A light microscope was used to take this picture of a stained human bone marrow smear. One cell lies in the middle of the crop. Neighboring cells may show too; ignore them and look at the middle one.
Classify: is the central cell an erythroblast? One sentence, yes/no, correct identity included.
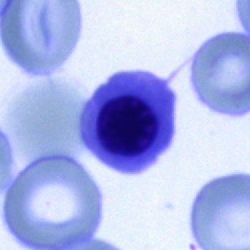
Yes, the cell positioned in the middle is an erythroblast.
